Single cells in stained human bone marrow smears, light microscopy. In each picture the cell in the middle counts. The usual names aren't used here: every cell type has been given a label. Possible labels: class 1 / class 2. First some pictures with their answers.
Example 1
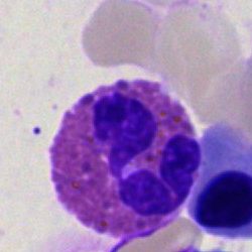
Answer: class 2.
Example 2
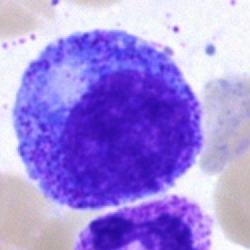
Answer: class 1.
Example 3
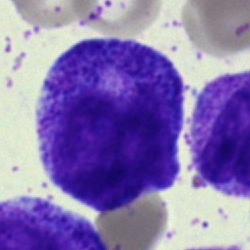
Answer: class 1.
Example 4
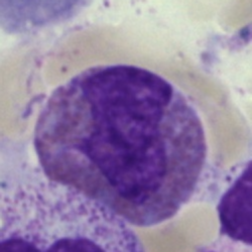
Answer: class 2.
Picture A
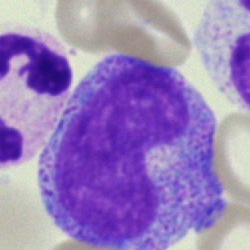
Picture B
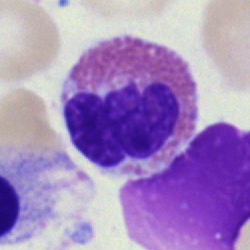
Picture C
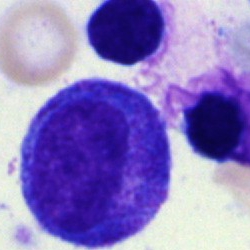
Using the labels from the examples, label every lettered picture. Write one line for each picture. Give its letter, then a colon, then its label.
A: class 1.
B: class 2.
C: class 1.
